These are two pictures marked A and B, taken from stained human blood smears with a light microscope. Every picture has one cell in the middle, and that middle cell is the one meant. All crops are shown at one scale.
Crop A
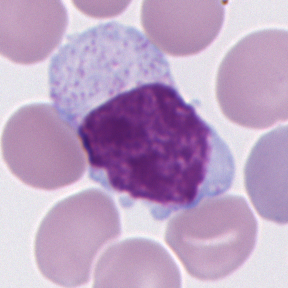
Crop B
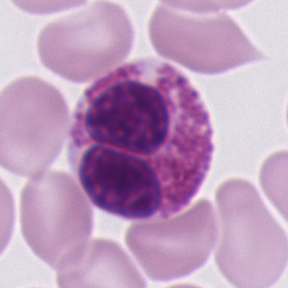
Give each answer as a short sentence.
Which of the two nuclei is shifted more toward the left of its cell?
The nucleus in crop B lies further toward the left of its cell.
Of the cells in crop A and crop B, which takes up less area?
Crop B holds the smaller cell, since the cell in crop A covers about 1.5 times as much area.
